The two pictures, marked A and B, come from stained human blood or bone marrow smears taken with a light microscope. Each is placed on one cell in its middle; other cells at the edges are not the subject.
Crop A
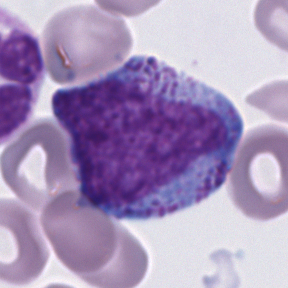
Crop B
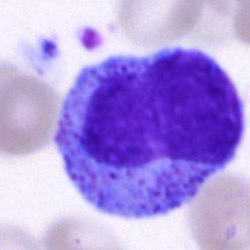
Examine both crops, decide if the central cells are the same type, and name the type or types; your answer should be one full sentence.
Yes, both crops are centred on cells that are promyelocytes.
